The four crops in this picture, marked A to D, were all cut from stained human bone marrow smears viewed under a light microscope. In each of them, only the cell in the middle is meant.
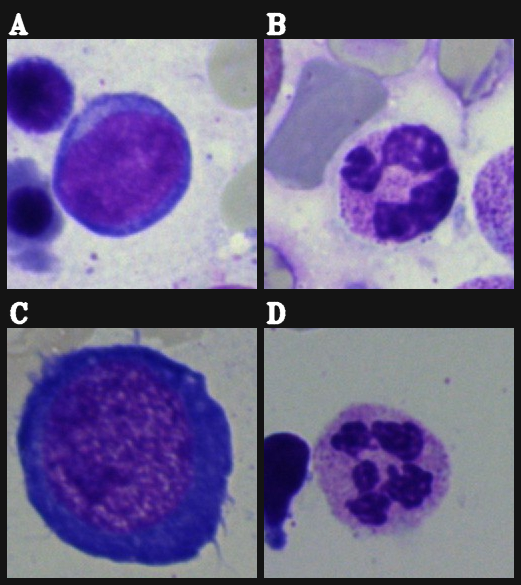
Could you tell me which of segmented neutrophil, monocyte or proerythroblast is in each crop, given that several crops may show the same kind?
A: proerythroblast
B: segmented neutrophil
C: proerythroblast
D: segmented neutrophil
